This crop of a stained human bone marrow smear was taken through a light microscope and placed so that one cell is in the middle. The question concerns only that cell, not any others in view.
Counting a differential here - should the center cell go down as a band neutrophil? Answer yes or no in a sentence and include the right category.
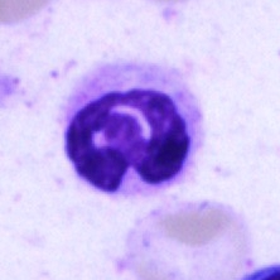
No, the centered cell is a segmented neutrophil and not a band neutrophil at all.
